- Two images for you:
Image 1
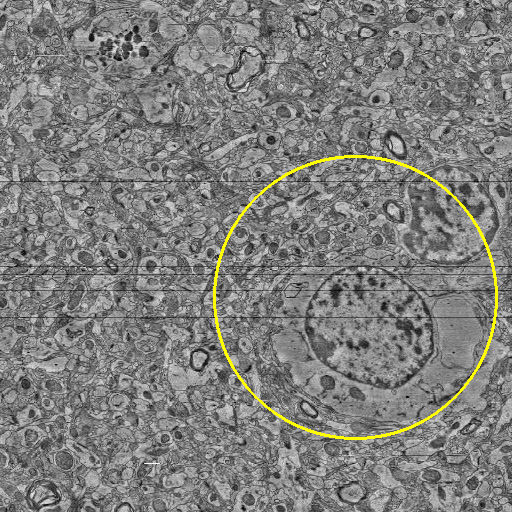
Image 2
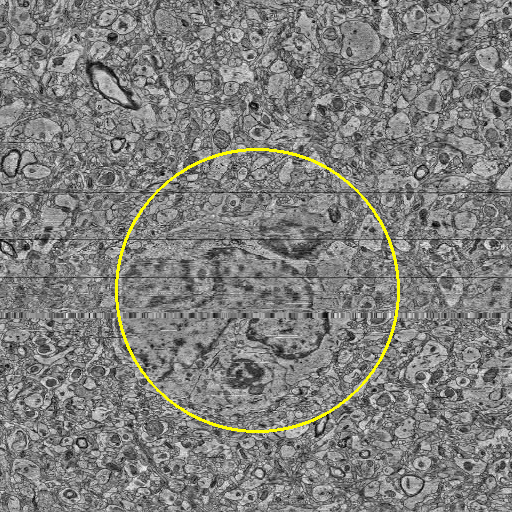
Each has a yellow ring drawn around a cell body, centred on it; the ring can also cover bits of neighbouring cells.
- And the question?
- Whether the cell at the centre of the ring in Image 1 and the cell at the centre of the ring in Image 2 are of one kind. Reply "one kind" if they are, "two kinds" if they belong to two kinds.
two kinds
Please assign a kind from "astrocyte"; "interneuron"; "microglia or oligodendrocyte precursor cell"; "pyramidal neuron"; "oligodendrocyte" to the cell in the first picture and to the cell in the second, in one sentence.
In the first picture we have an astrocyte, and in the second, a microglial cell or oligodendrocyte precursor cell.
